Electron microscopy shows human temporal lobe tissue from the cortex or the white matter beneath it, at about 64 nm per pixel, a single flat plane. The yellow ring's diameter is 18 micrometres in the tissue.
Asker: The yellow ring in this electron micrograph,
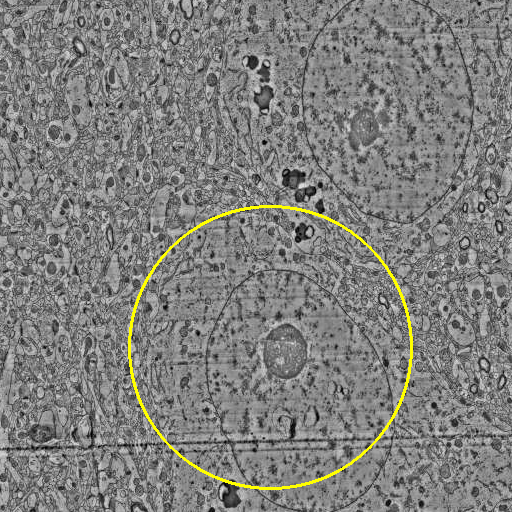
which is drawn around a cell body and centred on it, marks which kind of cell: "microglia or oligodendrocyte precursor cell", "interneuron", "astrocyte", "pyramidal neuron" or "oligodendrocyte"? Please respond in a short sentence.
The marked cell is a pyramidal neuron.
